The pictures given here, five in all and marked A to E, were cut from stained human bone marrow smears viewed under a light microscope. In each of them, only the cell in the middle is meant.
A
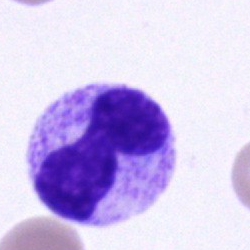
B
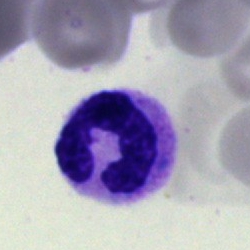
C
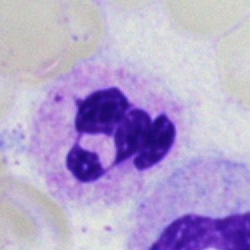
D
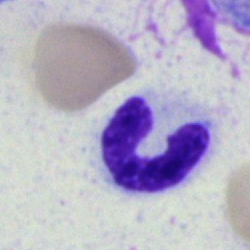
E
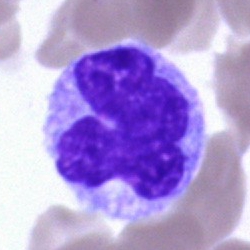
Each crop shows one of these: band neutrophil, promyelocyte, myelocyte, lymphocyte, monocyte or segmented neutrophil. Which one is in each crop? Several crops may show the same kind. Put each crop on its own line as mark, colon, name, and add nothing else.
A: band neutrophil
B: segmented neutrophil
C: segmented neutrophil
D: band neutrophil
E: monocyte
